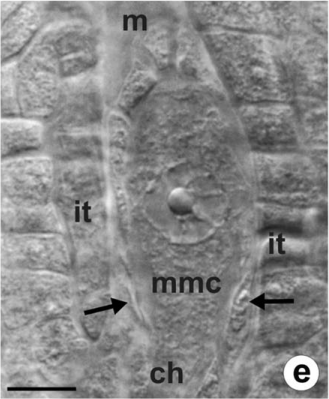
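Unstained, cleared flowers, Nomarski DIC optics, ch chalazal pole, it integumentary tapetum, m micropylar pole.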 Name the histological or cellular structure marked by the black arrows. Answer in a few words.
crushed cells of nucellus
